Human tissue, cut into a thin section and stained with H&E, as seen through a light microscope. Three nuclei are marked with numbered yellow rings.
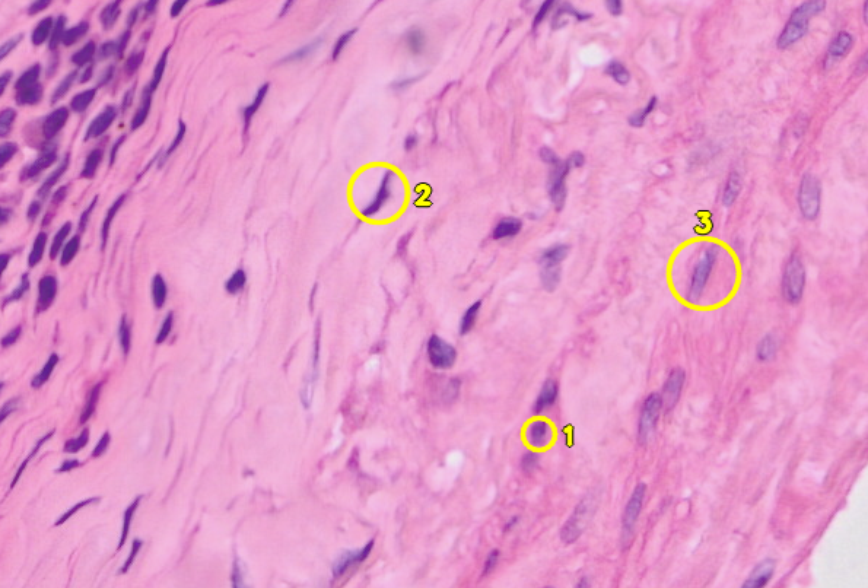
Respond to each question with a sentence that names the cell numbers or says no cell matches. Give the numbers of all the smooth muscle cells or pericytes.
The cells carrying the numbers 1 and 3 are smooth muscle cells or pericytes.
